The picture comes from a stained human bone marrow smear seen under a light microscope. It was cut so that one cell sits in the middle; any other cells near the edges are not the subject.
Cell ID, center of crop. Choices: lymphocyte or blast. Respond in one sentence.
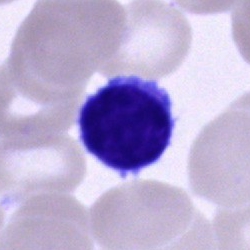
The single cell at the center of the crop is a lymphocyte.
